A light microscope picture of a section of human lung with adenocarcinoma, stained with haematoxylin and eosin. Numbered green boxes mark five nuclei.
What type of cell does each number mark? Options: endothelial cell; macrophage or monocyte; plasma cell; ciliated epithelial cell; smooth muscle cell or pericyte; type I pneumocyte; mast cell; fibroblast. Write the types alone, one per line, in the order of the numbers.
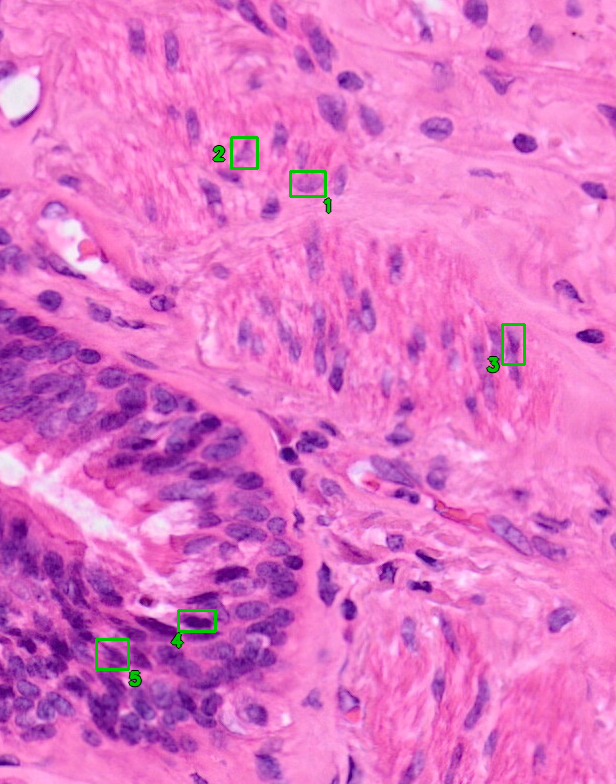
smooth muscle cell or pericyte
smooth muscle cell or pericyte
smooth muscle cell or pericyte
ciliated epithelial cell
ciliated epithelial cell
